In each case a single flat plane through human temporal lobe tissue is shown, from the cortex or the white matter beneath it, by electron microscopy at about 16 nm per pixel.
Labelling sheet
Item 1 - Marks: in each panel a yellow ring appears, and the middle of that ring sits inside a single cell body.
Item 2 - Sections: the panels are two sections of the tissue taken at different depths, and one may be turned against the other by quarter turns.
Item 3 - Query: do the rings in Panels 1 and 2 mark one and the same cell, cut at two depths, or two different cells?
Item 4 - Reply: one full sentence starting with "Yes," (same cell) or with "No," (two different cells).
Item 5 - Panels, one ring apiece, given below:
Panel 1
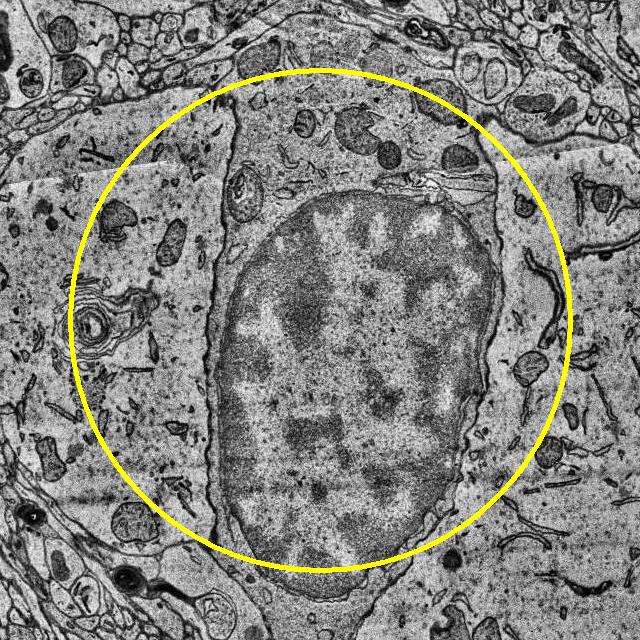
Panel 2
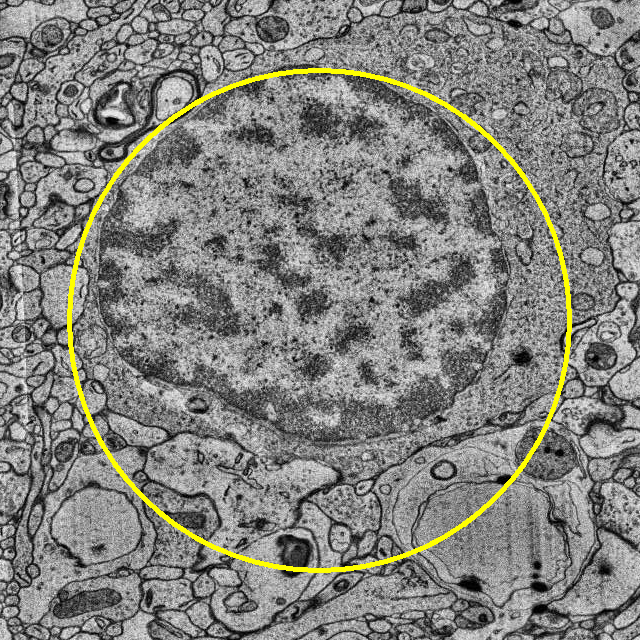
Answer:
No, a different cell sits inside each of the two rings.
